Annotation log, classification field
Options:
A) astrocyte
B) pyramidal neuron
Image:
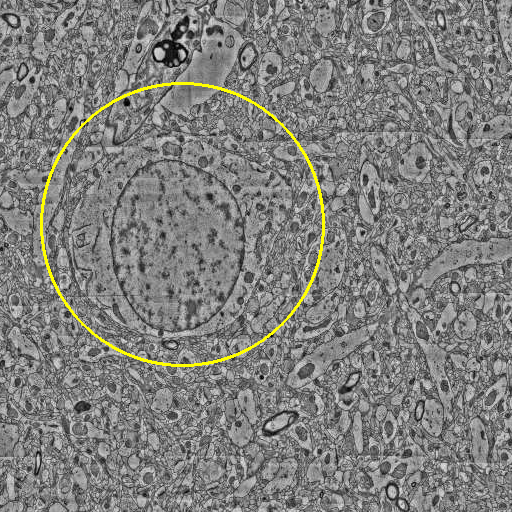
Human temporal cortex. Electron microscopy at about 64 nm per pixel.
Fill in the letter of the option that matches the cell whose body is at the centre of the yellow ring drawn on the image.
B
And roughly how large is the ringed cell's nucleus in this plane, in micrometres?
In this plane, the nucleus is roughly 11 by 9 micrometres.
